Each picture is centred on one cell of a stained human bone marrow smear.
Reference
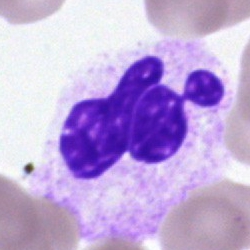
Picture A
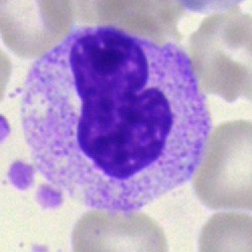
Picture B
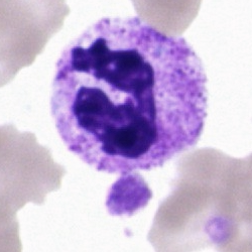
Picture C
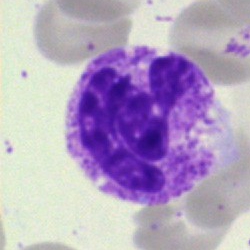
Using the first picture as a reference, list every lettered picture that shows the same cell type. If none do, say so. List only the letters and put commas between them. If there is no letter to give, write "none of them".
B, C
